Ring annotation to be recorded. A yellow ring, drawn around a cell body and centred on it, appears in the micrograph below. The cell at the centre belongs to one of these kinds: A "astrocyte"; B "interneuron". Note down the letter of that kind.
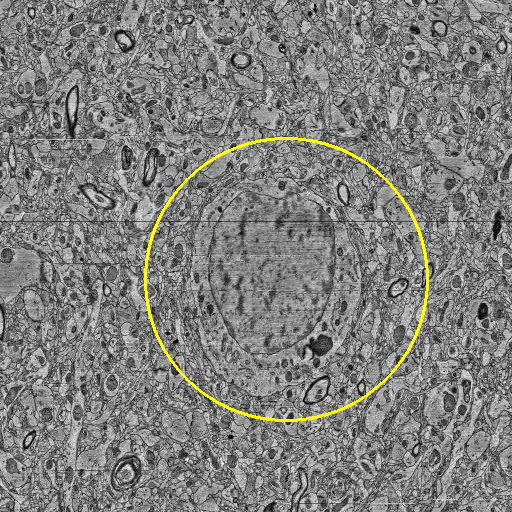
B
